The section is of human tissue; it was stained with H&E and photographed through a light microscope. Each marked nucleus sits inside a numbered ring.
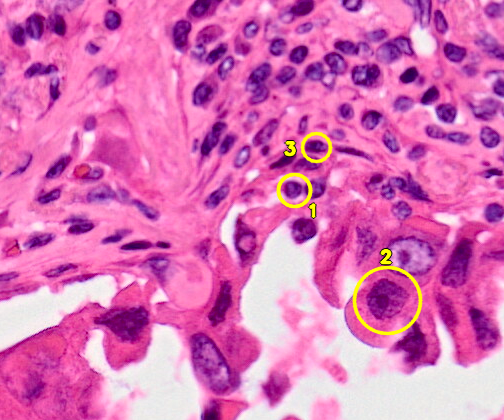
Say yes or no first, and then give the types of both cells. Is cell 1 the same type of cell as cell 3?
Yes, both cells 1 and 3 are lymphocytes.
